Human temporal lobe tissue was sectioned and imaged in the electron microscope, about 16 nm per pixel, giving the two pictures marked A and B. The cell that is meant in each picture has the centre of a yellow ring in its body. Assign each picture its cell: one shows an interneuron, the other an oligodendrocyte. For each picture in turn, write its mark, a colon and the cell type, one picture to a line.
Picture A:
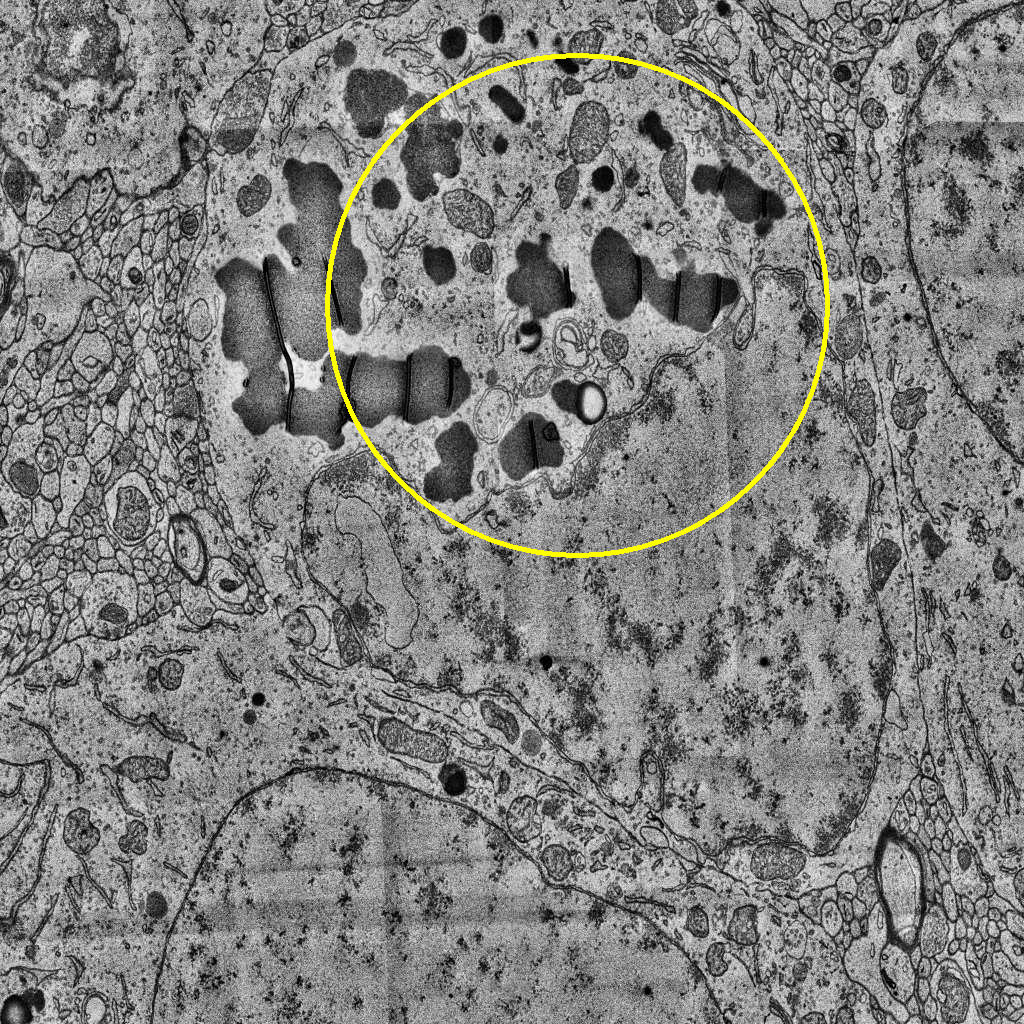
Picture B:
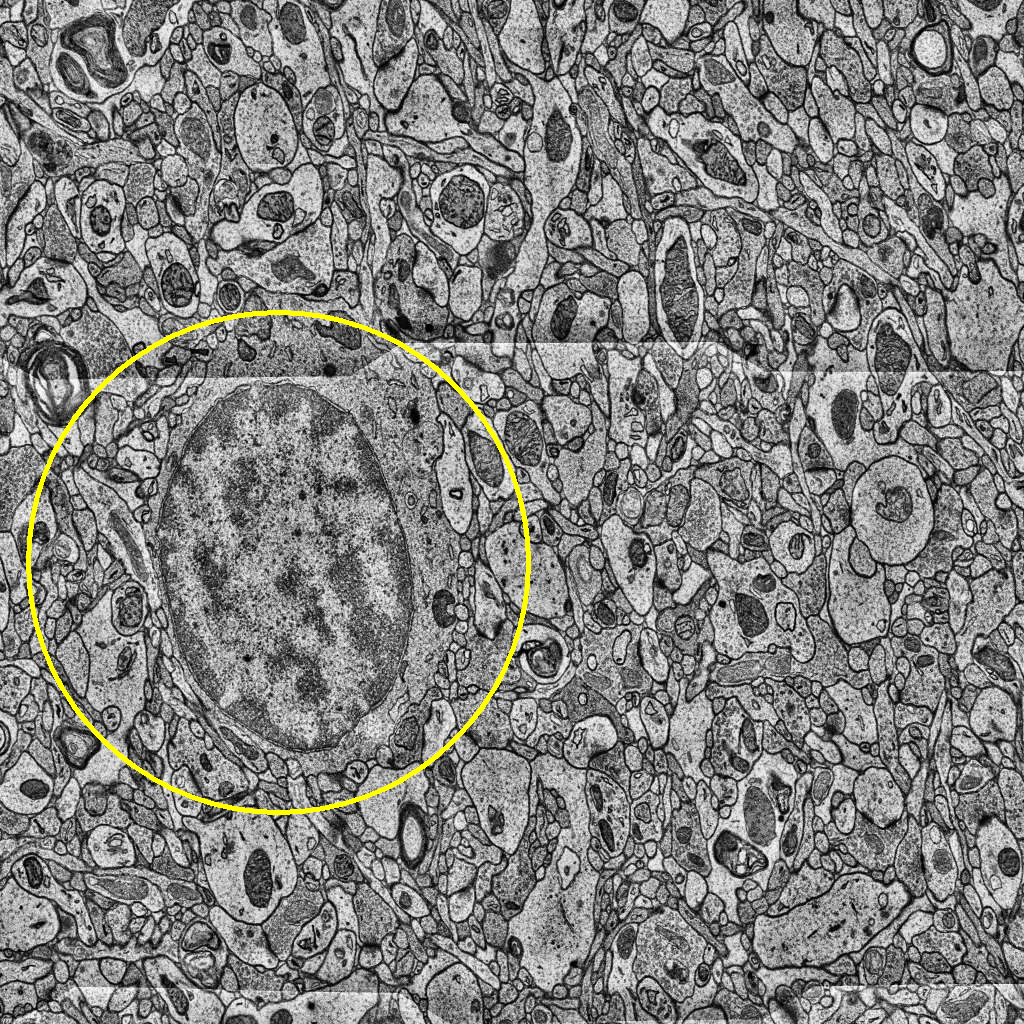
A: interneuron
B: oligodendrocyte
